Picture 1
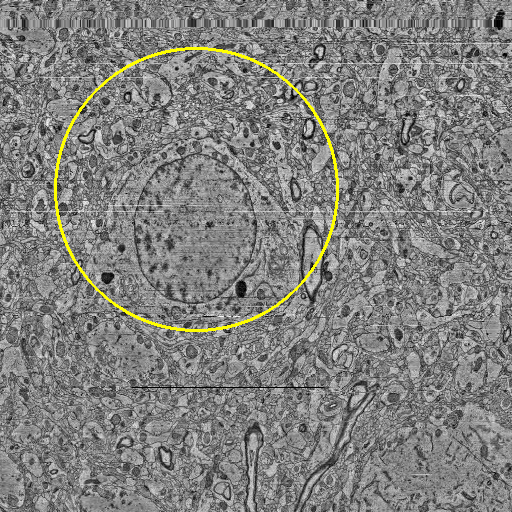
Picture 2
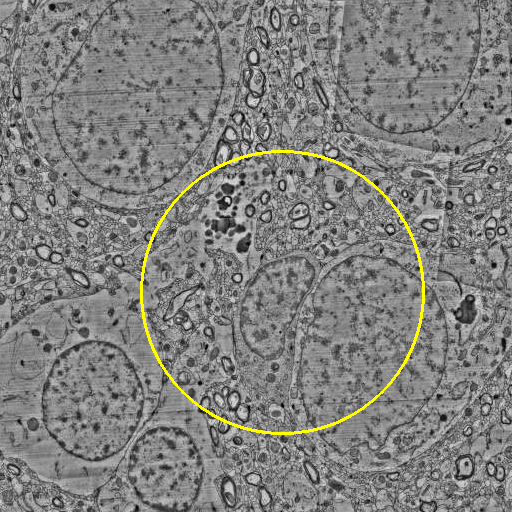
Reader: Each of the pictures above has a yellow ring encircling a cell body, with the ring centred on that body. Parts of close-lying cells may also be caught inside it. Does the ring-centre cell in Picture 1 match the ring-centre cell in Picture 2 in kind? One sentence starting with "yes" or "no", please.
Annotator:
No, Picture 1 and Picture 2 show ring-centre cells of two kinds.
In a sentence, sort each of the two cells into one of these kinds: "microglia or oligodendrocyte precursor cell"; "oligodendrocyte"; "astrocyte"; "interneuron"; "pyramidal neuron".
The first of the two cells is a pyramidal neuron, and the second is an oligodendrocyte.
